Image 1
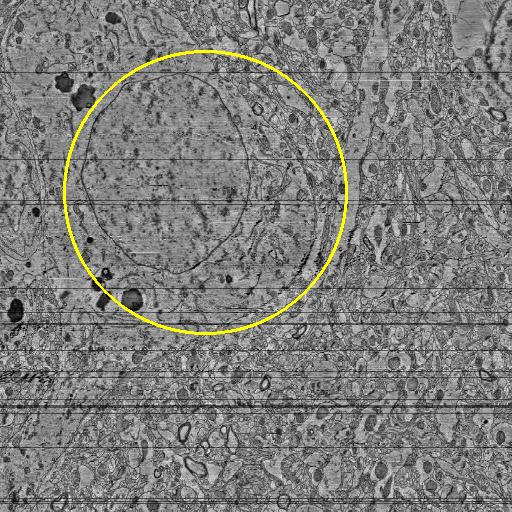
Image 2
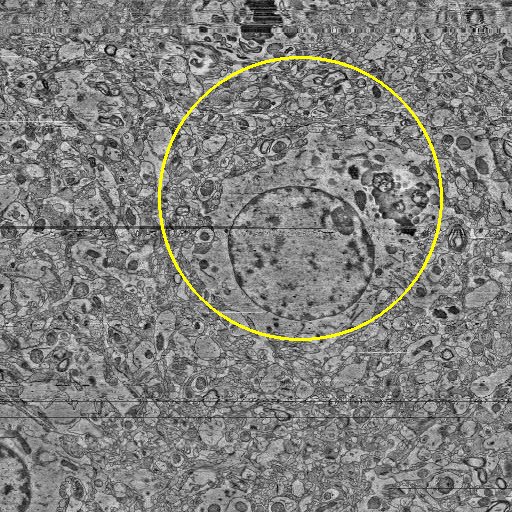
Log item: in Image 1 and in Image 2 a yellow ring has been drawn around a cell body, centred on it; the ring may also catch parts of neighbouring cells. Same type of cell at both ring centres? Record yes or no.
no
